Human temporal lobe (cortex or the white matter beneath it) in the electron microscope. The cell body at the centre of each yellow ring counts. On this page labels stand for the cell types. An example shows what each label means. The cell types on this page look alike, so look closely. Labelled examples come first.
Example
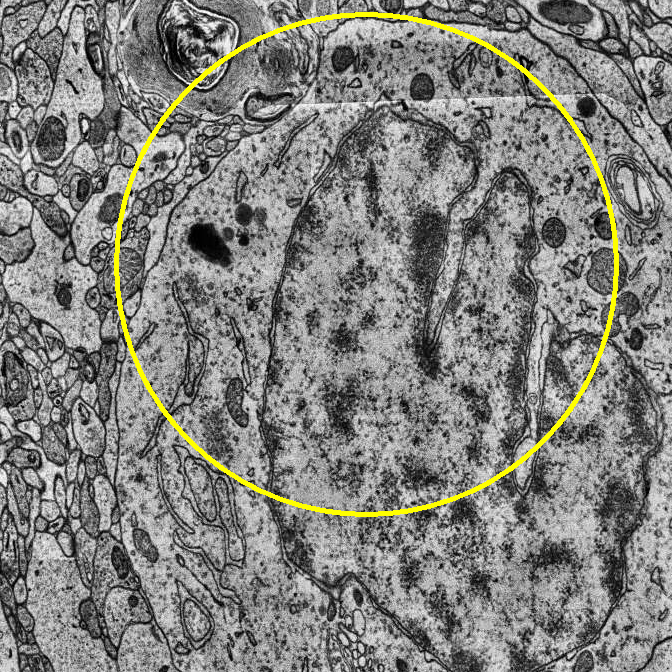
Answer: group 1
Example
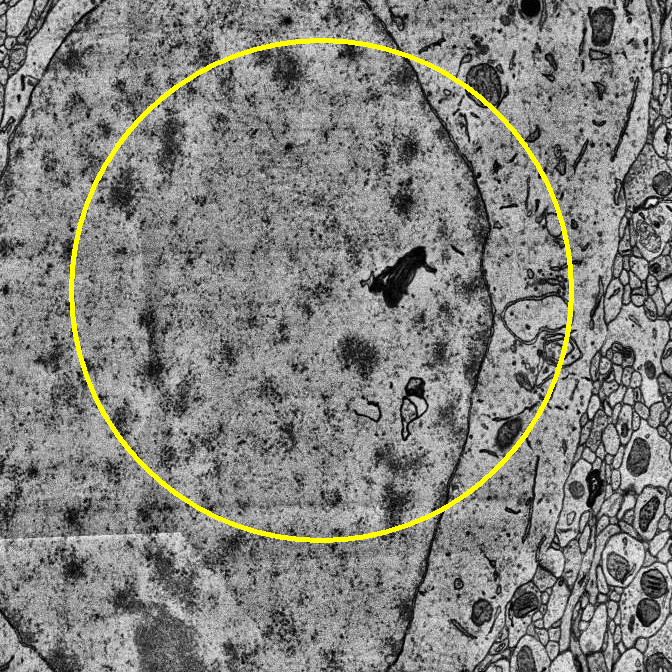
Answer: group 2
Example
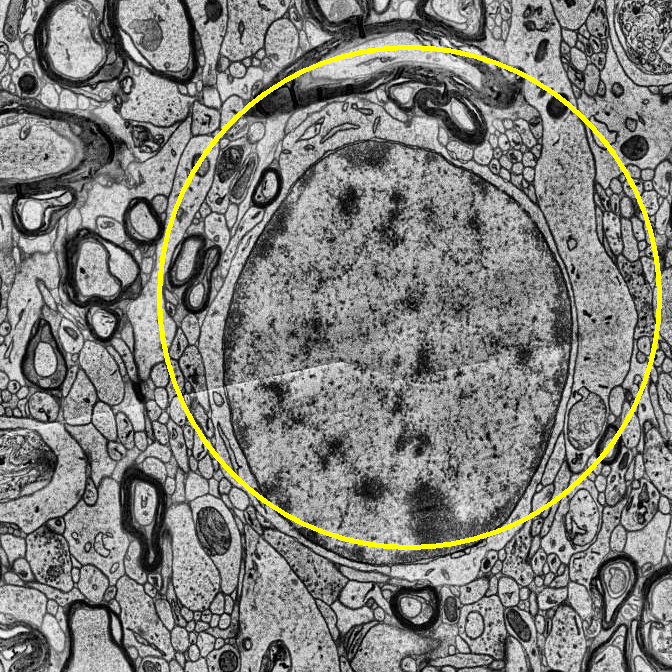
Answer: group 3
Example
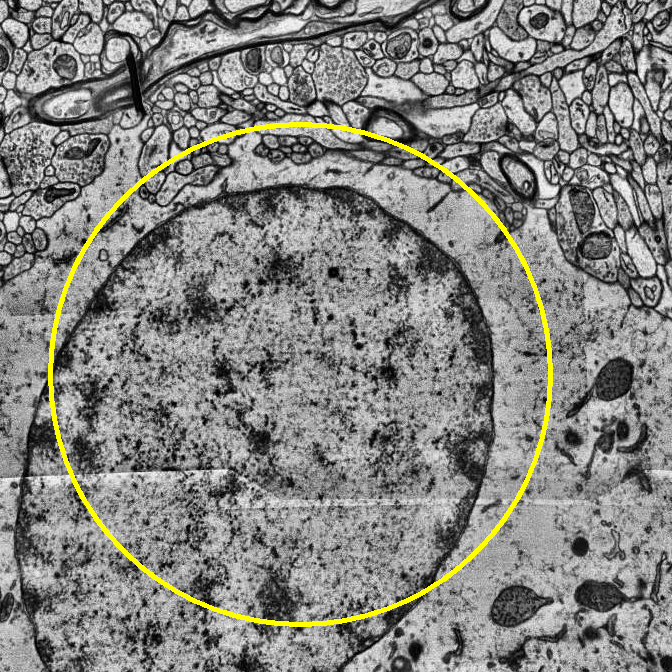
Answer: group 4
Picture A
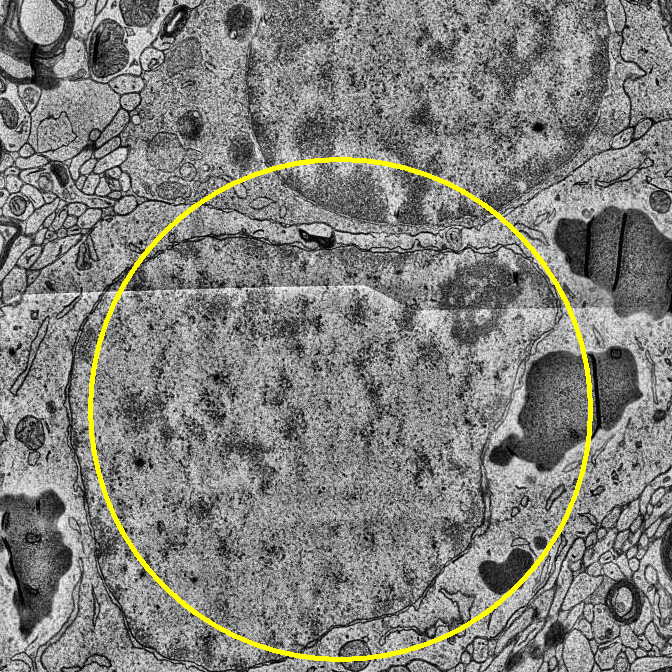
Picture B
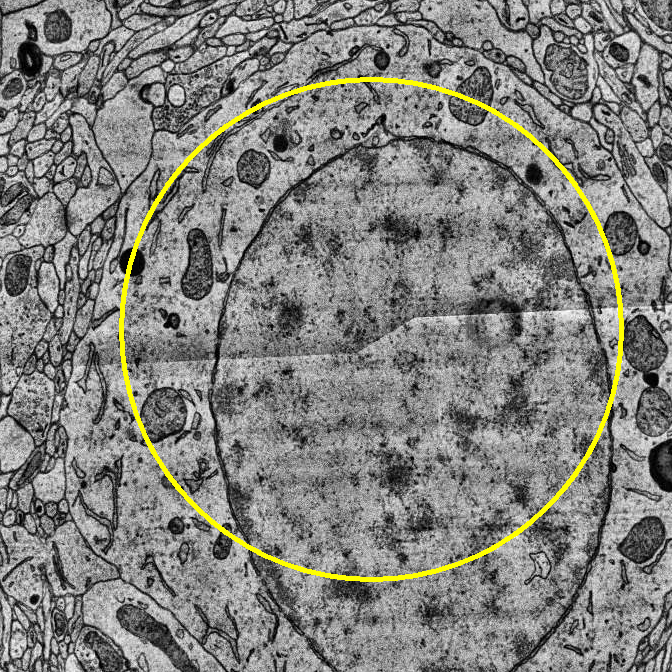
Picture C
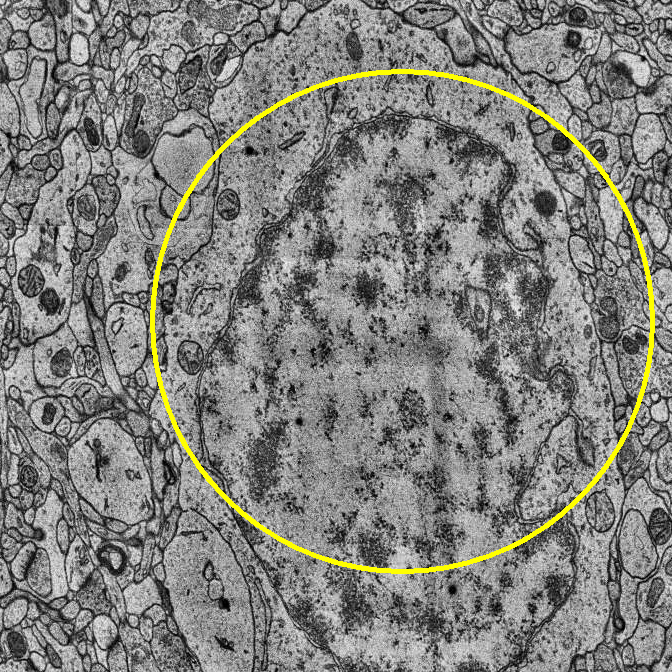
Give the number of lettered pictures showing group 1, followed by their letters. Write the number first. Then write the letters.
2, namely A, C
